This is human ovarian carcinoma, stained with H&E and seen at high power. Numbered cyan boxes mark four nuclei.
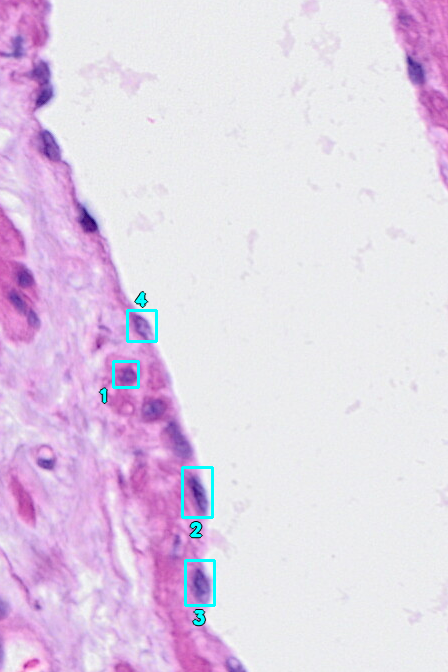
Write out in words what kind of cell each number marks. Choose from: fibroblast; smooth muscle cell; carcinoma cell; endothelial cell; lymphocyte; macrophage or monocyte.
Cell 1 is a smooth muscle cell, cell 2 is an endothelial cell, cell 3 is an endothelial cell and cell 4 is an endothelial cell.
